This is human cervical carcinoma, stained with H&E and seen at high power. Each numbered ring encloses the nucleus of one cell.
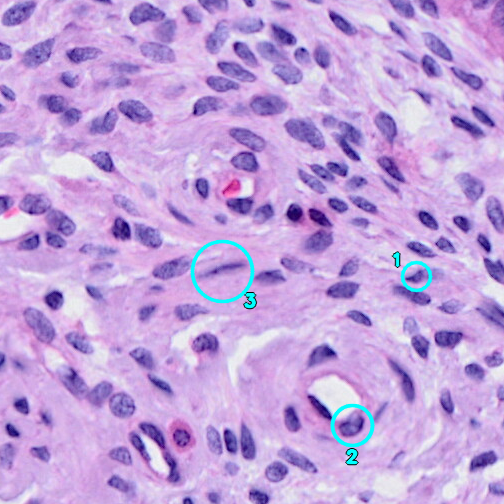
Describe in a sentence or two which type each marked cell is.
Cell 1 is a fibroblast, cell 2 is an endothelial cell and cell 3 is a fibroblast.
